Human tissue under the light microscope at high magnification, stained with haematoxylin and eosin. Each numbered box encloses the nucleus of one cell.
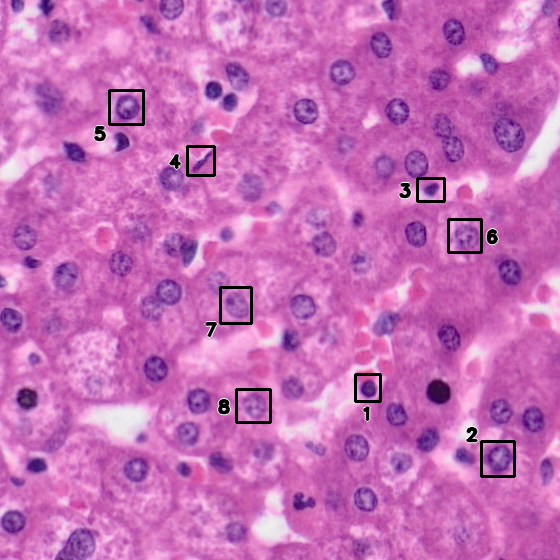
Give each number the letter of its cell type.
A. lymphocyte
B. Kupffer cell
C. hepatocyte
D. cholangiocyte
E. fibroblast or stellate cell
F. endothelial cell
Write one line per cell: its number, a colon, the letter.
1: A
2: C
3: A
4: F
5: C
6: C
7: C
8: C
